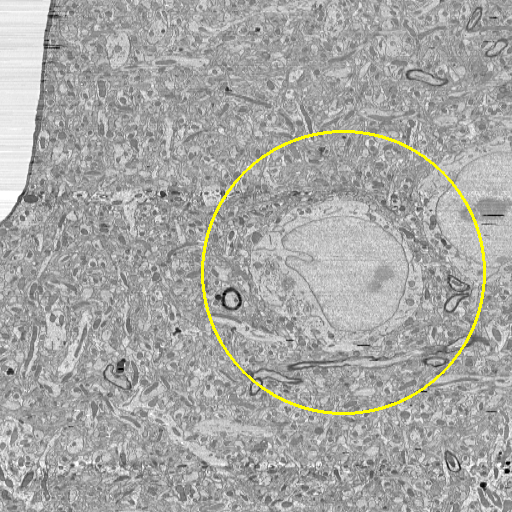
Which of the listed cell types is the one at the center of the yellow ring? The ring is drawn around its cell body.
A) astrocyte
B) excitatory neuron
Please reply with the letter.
B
